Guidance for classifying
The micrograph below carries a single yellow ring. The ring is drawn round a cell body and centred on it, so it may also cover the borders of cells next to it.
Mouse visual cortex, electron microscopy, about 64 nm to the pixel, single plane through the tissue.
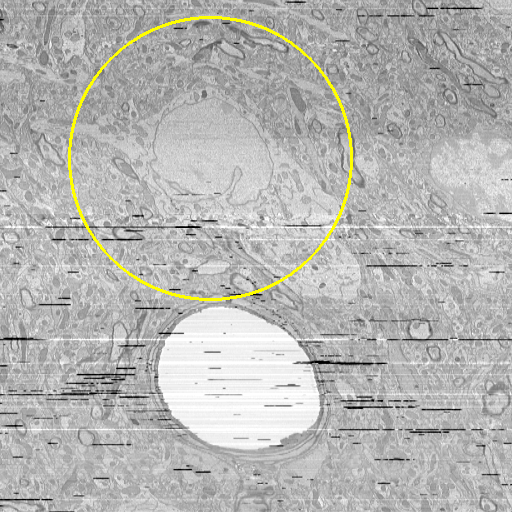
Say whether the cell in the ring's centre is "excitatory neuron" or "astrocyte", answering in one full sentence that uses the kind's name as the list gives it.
Within the yellow ring, an excitatory neuron is the cell whose body sits at the centre.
